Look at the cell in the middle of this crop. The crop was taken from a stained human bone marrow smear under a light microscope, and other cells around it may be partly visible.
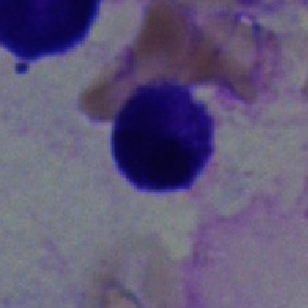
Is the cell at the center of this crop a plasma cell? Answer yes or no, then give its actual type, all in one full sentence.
No, the cell occupying the centre is a lymphocyte, not a plasma cell.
